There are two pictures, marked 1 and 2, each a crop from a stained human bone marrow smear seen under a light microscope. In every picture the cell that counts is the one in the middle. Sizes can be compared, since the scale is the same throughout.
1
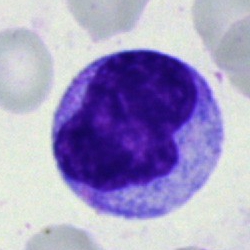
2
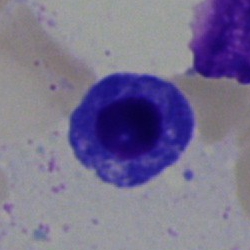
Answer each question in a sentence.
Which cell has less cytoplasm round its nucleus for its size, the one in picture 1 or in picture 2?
Of the two, the nucleus in picture 1 makes up the greater part of its cell.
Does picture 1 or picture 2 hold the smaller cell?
Picture 2 holds the smaller cell, since the cell in picture 1 covers about 2 times as much area.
